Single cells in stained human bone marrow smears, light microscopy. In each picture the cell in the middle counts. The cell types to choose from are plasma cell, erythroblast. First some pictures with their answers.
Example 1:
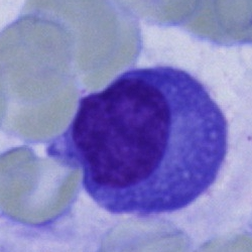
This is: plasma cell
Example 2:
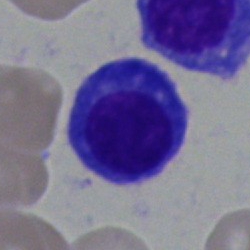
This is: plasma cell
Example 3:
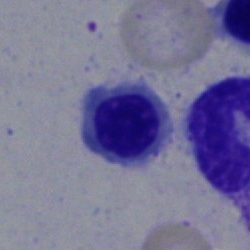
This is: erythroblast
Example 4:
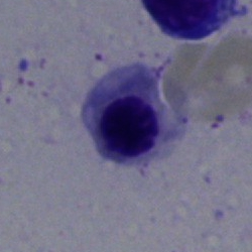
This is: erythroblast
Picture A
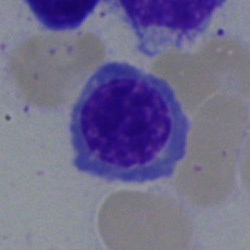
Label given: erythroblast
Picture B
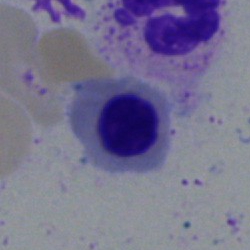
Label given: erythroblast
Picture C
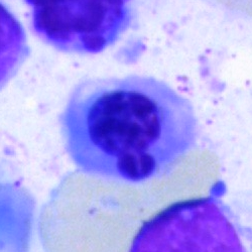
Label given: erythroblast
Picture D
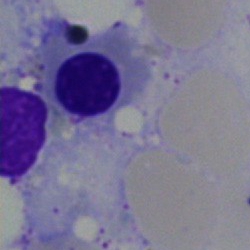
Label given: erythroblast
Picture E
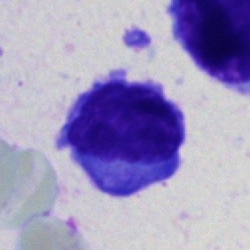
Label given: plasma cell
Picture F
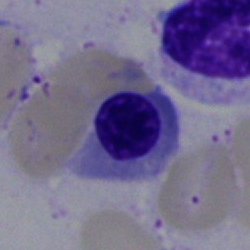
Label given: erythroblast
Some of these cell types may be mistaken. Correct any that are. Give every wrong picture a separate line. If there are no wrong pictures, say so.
No label is wrong.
